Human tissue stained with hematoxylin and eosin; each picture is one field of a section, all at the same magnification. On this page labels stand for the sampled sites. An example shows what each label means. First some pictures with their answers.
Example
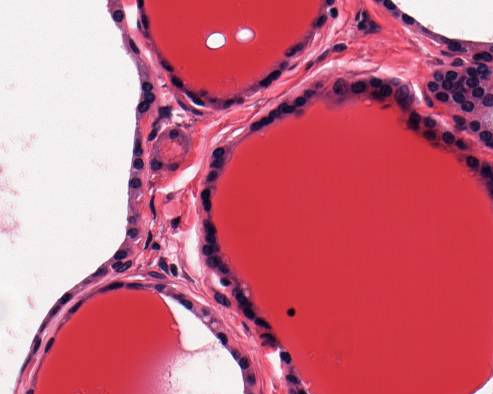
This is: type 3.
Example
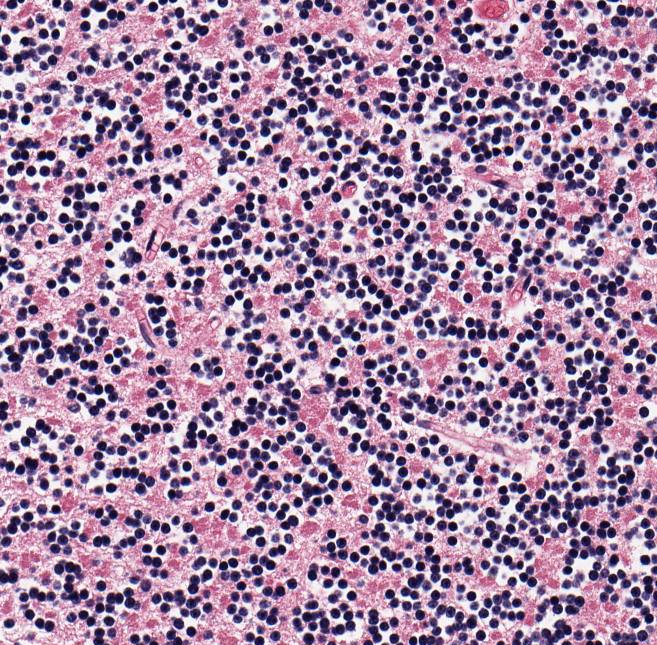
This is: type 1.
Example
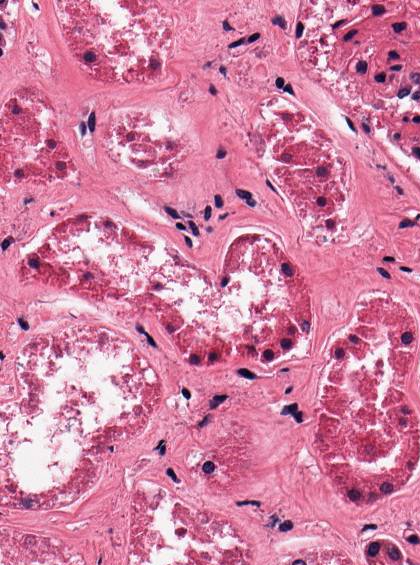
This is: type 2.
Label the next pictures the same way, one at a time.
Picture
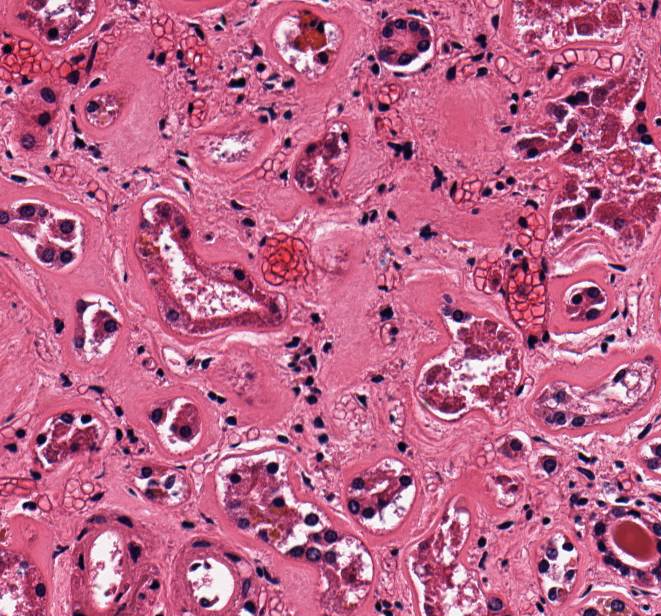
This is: type 2.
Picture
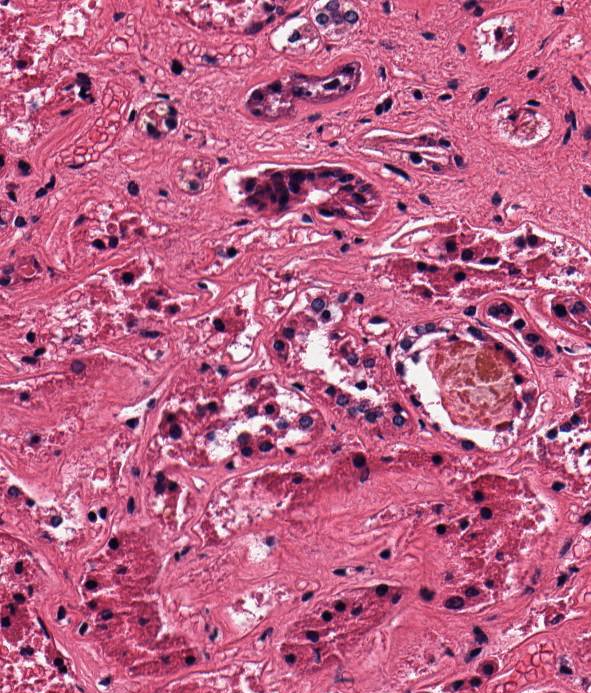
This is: type 2.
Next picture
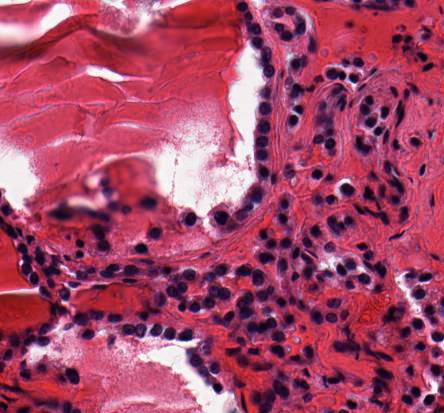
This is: type 3.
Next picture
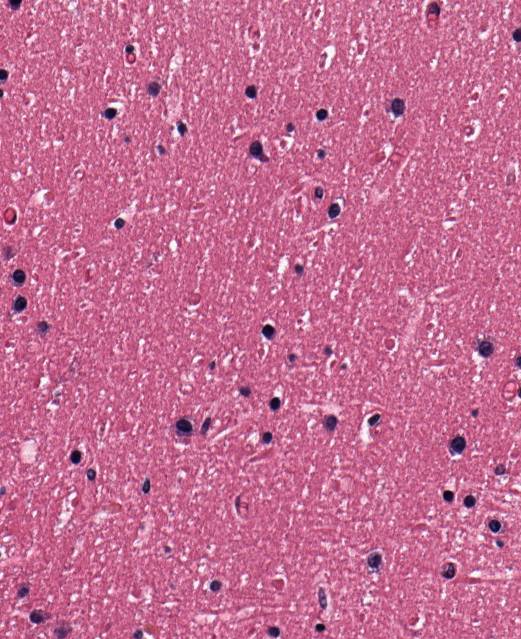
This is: type 1.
